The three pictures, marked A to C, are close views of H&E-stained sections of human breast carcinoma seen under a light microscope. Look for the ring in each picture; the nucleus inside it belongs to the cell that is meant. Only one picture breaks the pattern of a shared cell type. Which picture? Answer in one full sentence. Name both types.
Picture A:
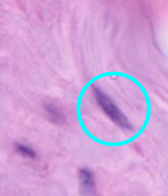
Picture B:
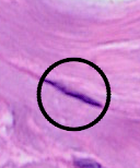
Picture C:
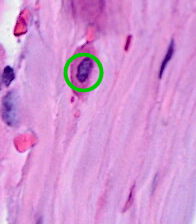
The different one is picture C; it shows a mast cell, whereas all the others show fibroblasts.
